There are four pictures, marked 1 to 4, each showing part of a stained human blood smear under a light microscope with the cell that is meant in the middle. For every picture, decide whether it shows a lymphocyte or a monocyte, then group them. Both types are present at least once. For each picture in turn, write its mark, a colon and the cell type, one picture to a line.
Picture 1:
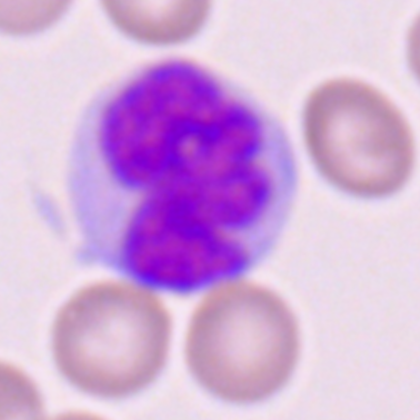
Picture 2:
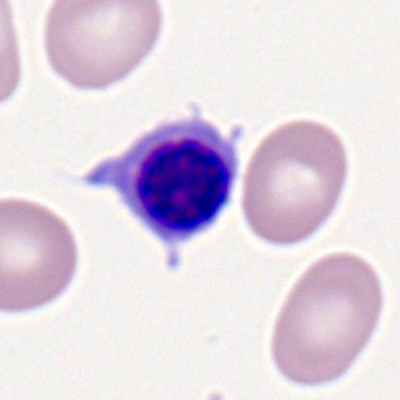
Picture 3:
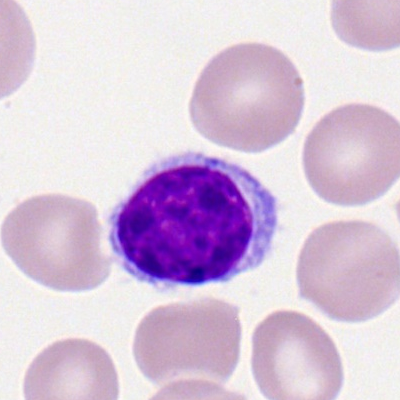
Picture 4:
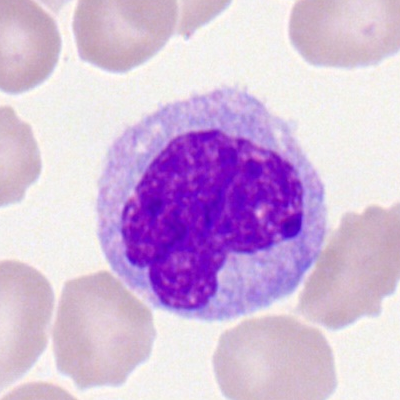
1: monocyte
2: lymphocyte
3: lymphocyte
4: monocyte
